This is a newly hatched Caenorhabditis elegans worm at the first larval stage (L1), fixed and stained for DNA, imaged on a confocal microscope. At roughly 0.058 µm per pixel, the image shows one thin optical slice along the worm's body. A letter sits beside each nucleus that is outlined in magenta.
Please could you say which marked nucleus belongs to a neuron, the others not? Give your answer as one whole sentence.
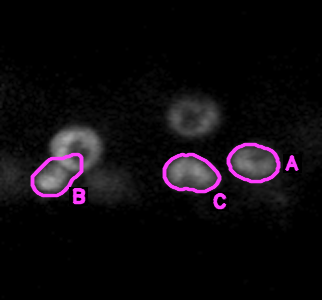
B is the one that belongs to a neuron.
